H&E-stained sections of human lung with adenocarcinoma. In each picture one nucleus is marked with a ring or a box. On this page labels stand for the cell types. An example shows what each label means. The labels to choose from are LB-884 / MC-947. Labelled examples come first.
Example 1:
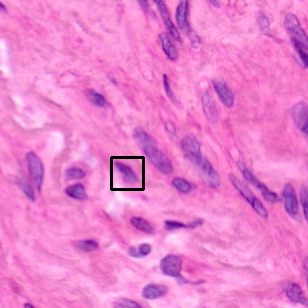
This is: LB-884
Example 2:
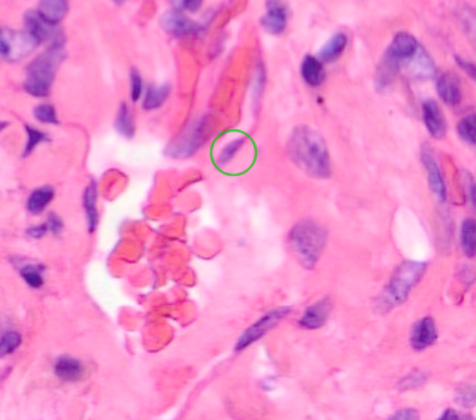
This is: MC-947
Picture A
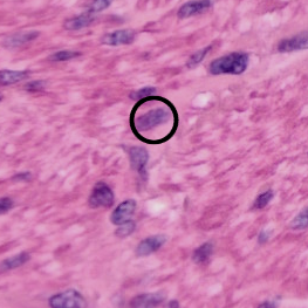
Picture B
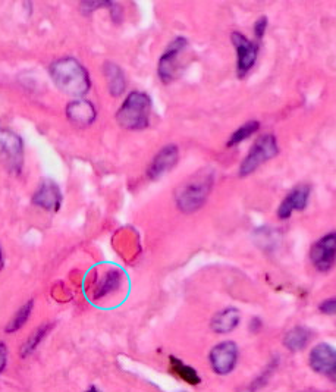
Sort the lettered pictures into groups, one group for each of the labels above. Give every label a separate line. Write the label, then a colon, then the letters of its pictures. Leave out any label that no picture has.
LB-884: A
MC-947: B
